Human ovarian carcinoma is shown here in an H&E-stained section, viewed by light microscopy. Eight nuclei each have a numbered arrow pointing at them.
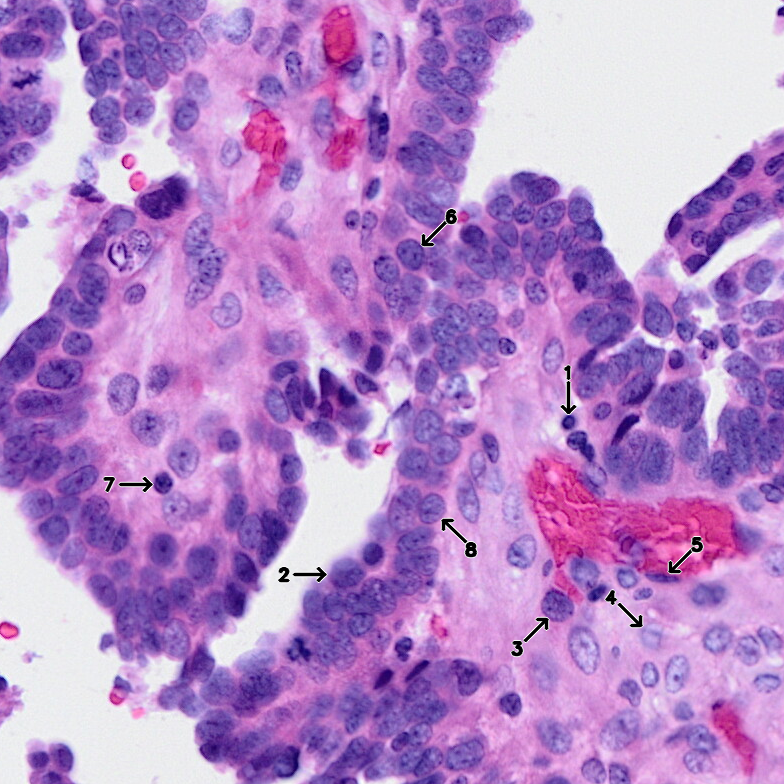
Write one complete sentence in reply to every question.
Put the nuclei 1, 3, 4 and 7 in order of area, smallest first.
By area, going up from the smallest, they rank 1, 7, 4, 3.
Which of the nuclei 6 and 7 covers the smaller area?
With nucleus 6 about 2 times its size, nucleus 7 is the smaller of the two.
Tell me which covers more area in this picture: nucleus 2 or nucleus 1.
It is nucleus 2, which covers about 4 times the area of nucleus 1.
